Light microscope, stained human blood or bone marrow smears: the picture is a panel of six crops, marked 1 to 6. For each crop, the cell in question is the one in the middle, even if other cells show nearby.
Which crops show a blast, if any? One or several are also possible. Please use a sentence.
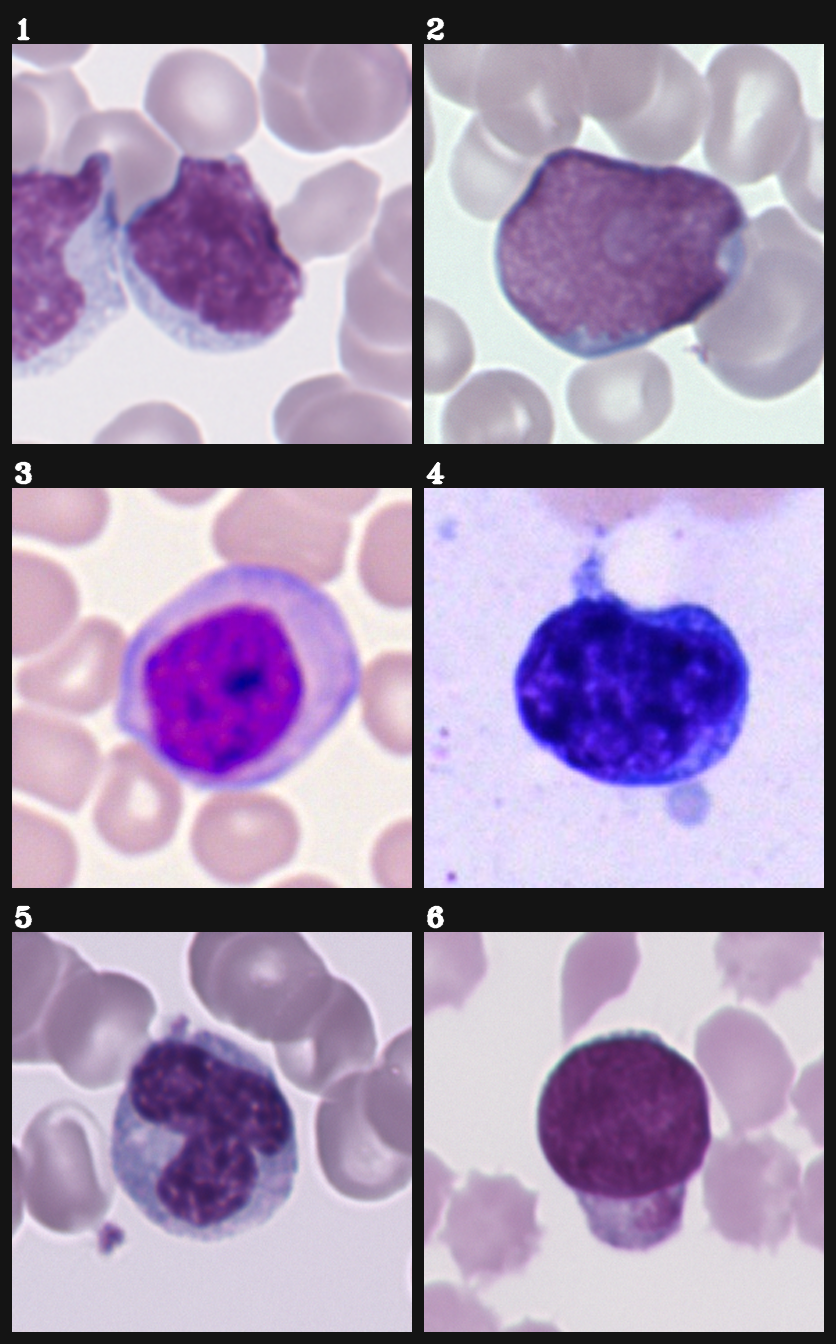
It is crops 2, 3, 4 and 6 that show blasts.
